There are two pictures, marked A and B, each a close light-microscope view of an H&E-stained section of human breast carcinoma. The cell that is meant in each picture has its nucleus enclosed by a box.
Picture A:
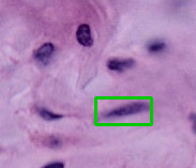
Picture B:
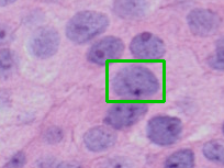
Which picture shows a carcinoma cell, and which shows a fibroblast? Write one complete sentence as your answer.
The cell in picture A is a fibroblast, and the one in picture B is a carcinoma cell.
